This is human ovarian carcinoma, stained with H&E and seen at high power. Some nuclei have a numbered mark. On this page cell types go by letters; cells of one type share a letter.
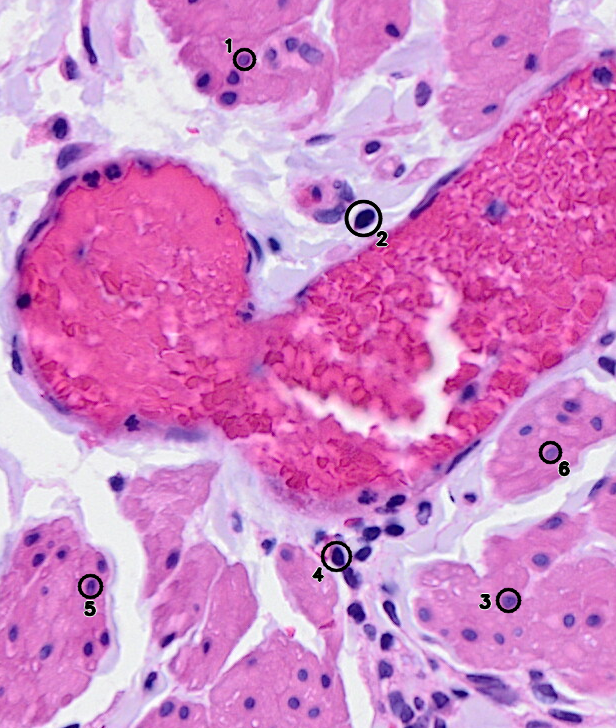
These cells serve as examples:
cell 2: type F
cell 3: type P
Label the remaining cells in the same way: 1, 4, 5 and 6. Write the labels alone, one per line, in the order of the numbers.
type P
type F
type P
type P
